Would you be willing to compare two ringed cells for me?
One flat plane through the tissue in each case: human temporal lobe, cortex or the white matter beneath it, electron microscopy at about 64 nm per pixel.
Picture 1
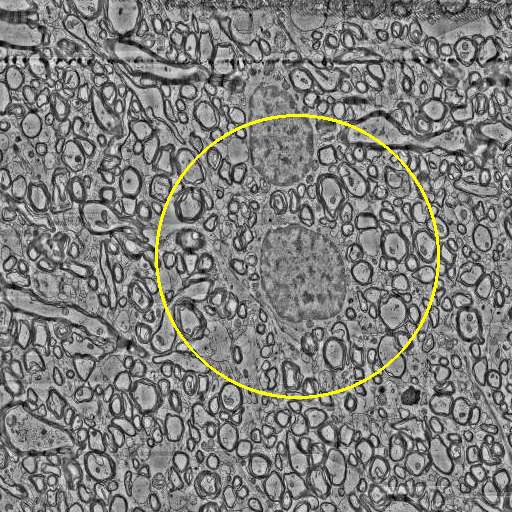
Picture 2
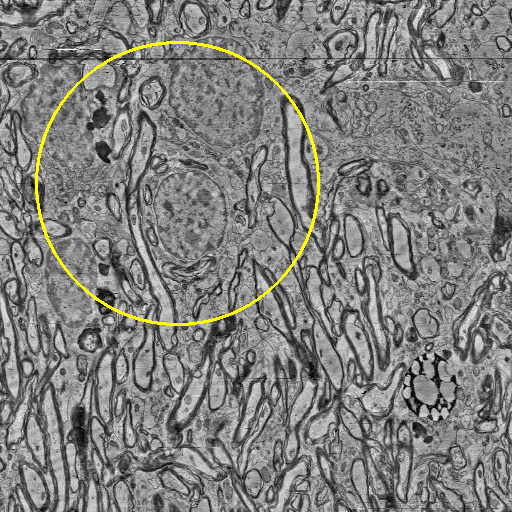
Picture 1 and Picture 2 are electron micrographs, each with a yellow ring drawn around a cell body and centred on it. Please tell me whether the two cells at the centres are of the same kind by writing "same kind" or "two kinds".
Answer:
two kinds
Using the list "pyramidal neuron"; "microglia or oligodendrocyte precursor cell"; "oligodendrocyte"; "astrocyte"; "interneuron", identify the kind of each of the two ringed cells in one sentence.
The first is an oligodendrocyte and the second is a microglial cell or oligodendrocyte precursor cell.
